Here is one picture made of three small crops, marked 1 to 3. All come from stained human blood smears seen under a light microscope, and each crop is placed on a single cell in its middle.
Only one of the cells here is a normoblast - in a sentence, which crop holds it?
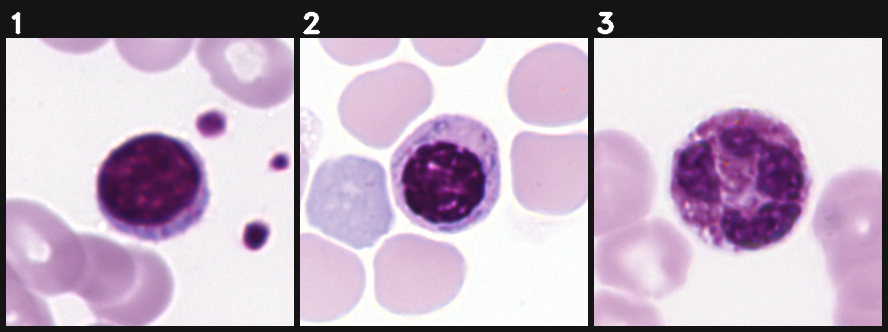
The crop that shows a normoblast is crop 2.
